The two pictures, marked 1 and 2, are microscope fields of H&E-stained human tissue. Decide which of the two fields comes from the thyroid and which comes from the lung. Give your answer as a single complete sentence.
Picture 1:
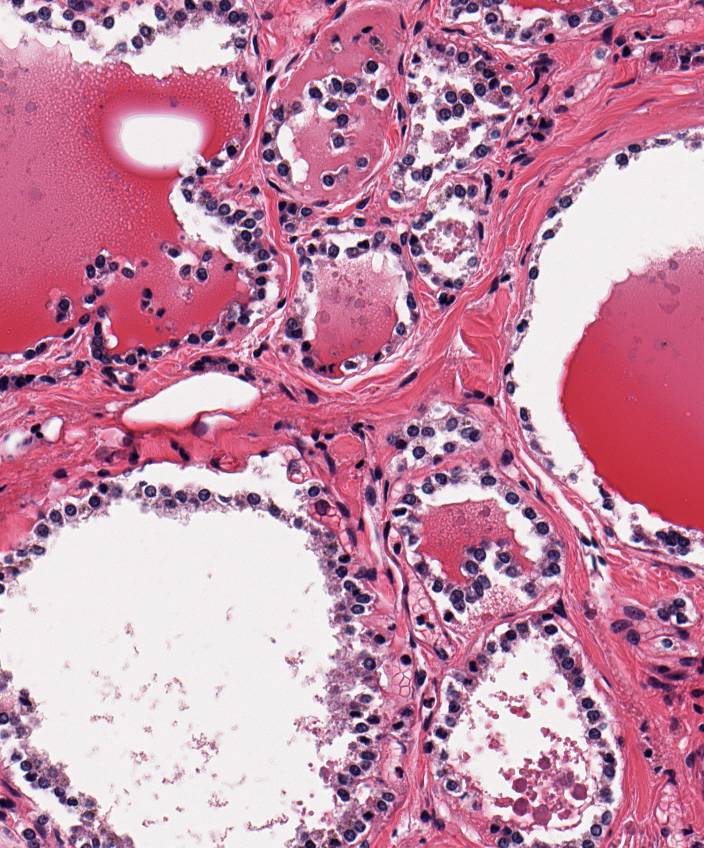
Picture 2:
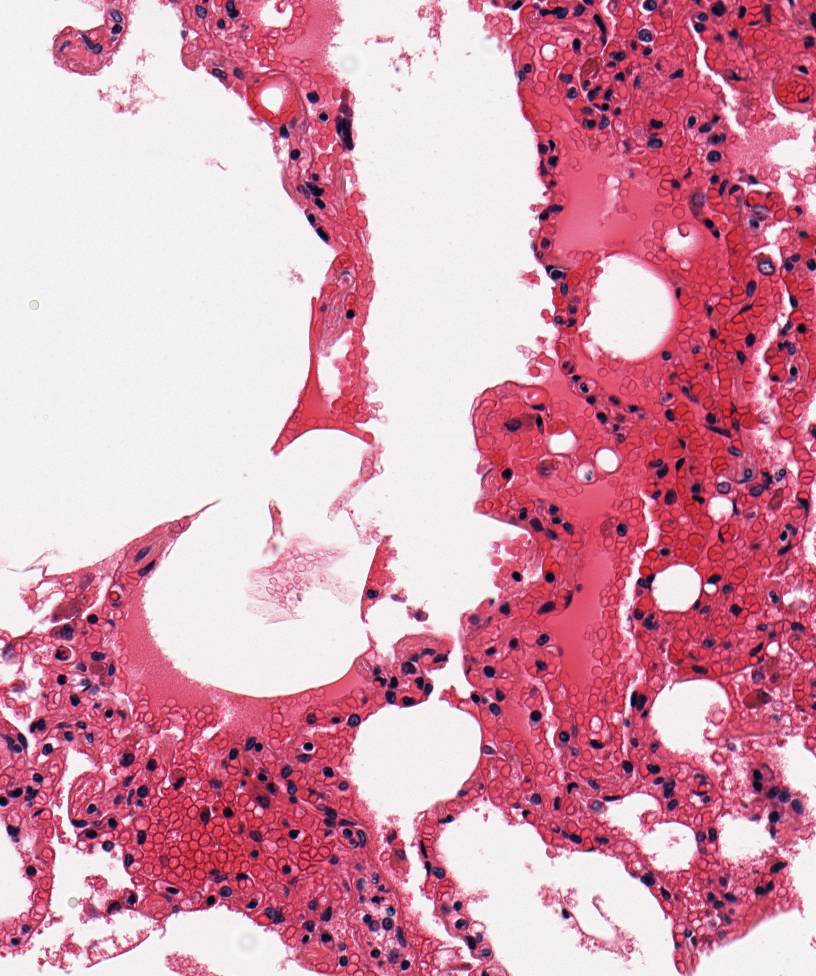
Picture 1 comes from the thyroid; picture 2 comes from the lung.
